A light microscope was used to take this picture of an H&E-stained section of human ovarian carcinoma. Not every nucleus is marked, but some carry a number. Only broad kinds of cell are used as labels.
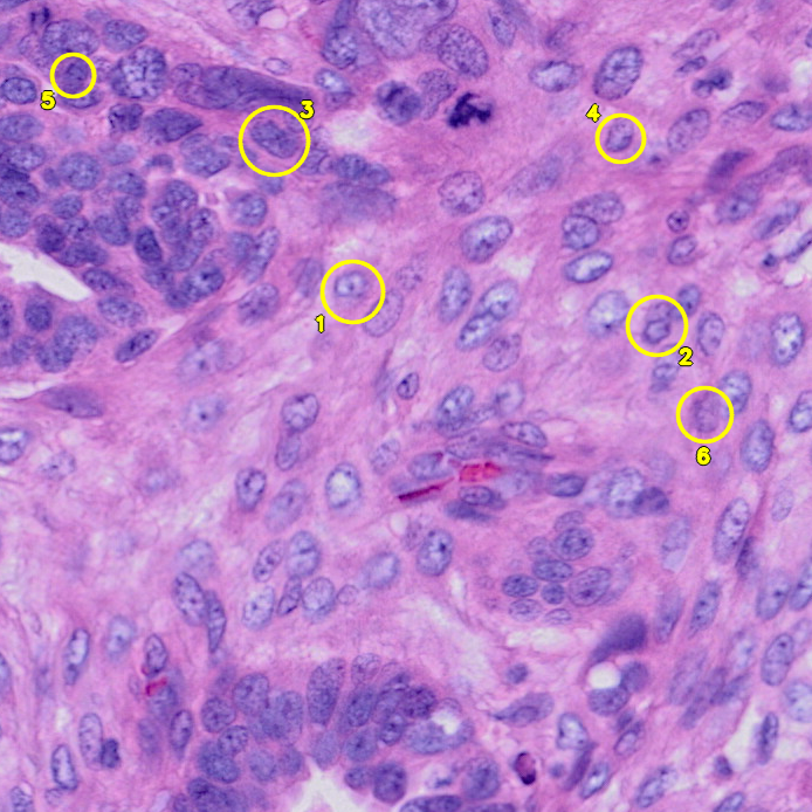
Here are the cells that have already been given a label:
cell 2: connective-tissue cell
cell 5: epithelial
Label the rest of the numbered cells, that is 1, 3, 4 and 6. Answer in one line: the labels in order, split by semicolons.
connective-tissue cell; epithelial; connective-tissue cell; connective-tissue cell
